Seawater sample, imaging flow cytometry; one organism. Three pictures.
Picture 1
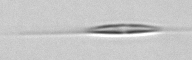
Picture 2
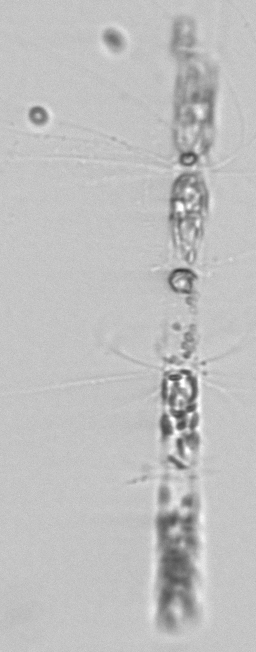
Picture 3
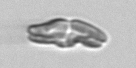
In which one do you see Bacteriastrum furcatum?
In picture 2.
